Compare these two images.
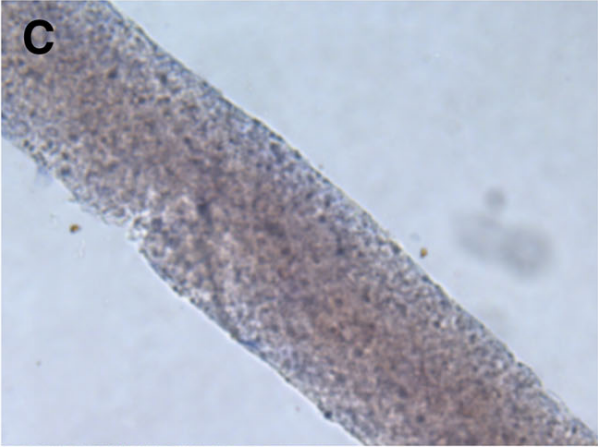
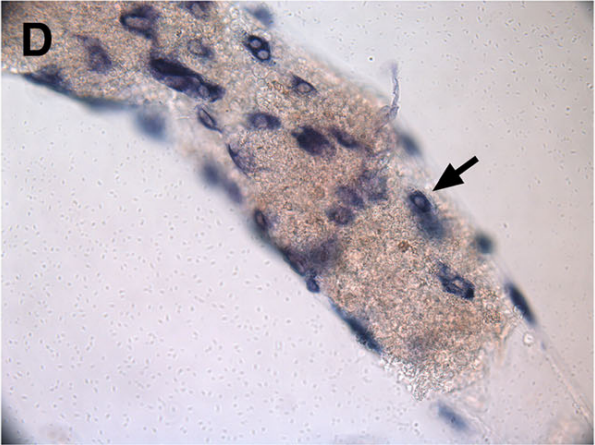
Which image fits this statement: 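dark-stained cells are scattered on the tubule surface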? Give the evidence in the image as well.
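Second image: many discrete dark blue-purple oval cells lie on the tubule. First image: the tubule is evenly pale brown-grey with no discrete dark-stained cells.
Conclusion: the second image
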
